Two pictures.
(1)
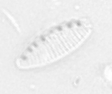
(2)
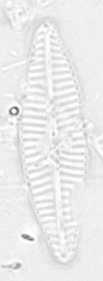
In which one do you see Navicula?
In picture 2.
